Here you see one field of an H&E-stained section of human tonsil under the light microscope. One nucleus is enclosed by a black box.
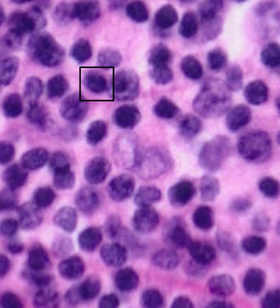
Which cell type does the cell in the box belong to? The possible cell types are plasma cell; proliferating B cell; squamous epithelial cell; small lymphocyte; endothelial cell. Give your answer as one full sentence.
By cell type, the cell in the box is a small lymphocyte.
